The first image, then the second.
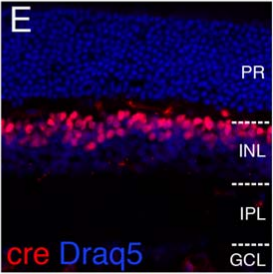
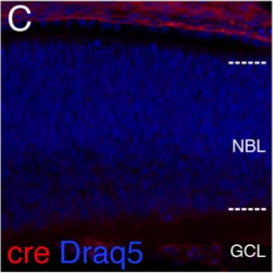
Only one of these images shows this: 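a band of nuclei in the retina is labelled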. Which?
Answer: The first image.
